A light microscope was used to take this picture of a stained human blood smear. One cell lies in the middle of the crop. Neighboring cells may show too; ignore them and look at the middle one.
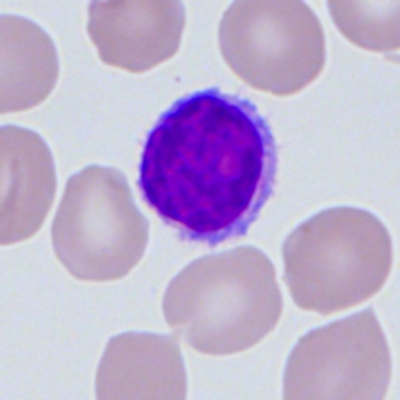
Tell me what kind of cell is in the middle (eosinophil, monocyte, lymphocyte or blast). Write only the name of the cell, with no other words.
lymphocyte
